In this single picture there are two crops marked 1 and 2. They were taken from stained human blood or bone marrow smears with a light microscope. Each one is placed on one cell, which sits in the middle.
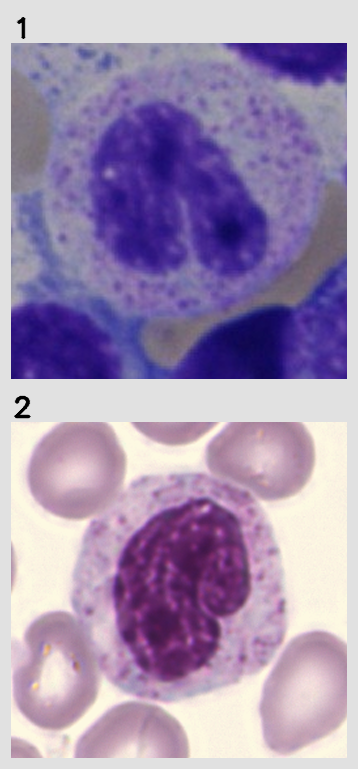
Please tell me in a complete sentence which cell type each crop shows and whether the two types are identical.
Yes, in both of the crops, the central cells are band neutrophils.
